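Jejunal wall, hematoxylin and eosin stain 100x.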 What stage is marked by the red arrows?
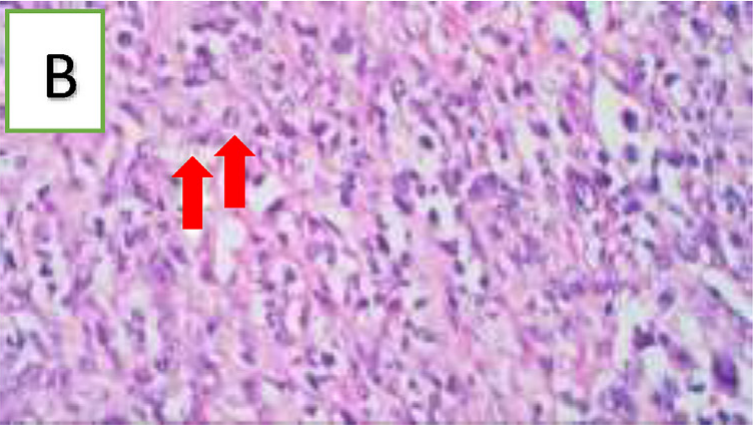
mitotic cell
